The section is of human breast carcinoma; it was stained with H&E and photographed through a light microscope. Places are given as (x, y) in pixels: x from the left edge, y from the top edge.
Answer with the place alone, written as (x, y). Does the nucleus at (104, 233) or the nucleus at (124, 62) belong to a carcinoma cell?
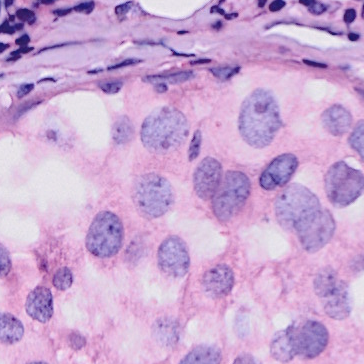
(104, 233)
